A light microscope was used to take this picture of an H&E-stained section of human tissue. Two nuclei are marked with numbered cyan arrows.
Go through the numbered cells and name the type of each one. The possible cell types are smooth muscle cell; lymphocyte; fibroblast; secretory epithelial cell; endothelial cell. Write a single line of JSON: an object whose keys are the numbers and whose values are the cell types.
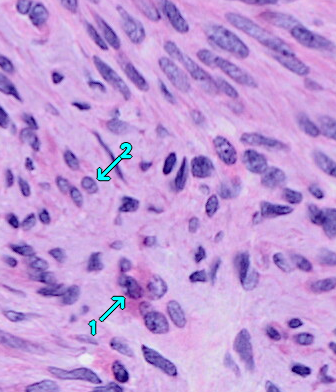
{"1": "endothelial cell", "2": "smooth muscle cell"}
